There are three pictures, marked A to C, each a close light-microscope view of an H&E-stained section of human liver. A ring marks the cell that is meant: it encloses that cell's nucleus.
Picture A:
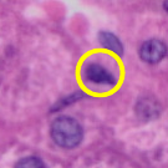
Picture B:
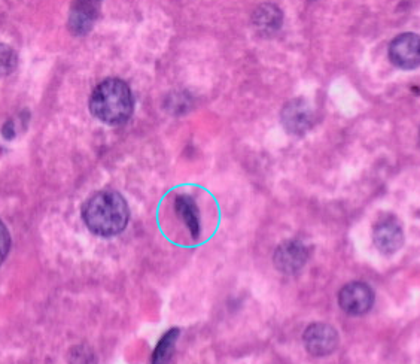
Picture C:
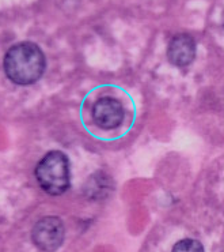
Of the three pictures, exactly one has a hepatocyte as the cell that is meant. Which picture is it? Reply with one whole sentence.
The picture with the hepatocyte is C.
